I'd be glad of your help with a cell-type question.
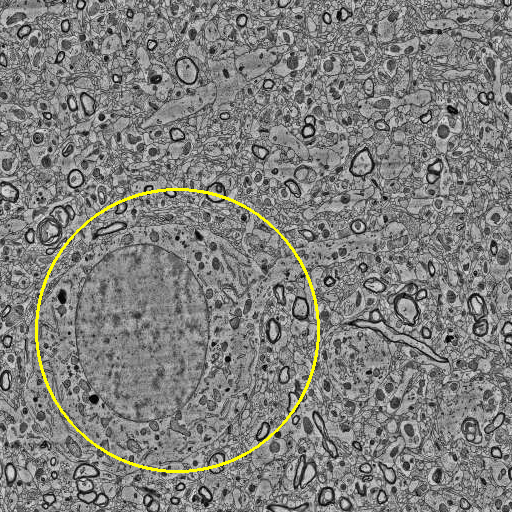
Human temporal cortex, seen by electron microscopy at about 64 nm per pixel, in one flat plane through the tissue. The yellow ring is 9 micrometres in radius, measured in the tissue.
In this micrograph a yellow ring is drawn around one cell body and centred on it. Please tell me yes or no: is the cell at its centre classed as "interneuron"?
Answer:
yes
